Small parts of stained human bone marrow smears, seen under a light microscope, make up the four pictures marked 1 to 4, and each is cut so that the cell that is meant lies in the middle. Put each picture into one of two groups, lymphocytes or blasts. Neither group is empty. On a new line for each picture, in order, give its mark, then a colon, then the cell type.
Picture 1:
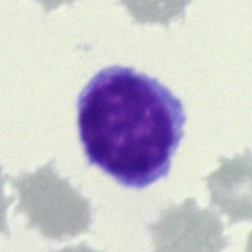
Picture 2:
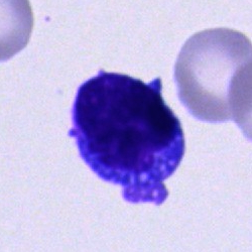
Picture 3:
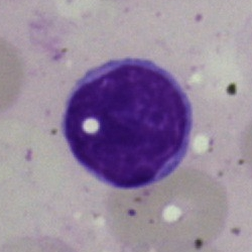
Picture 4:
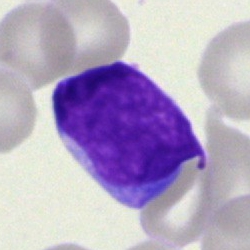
1: lymphocyte
2: blast
3: lymphocyte
4: blast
